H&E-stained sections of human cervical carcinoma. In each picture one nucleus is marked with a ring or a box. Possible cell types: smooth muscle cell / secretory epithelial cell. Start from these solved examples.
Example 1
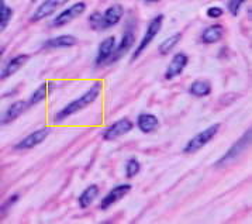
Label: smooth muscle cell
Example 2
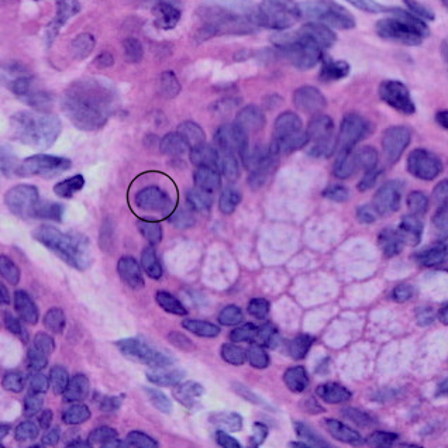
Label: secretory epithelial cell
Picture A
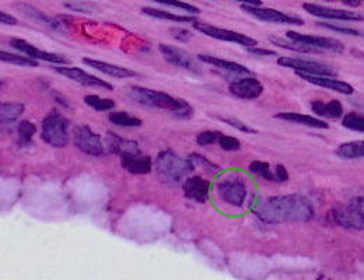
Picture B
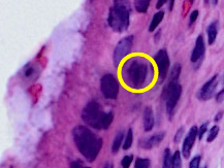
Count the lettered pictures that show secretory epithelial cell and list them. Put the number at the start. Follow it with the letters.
Count: 2 (A, B)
